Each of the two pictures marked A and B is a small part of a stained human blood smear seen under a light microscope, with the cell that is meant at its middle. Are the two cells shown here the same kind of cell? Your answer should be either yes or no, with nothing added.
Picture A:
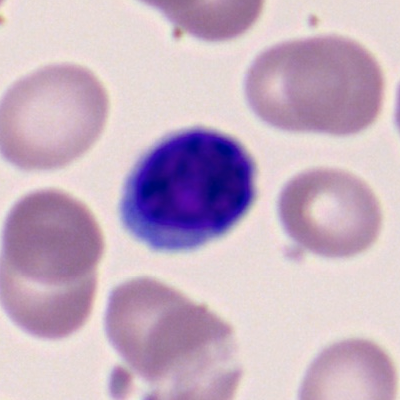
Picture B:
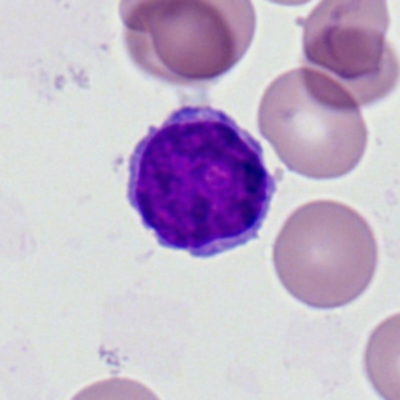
yes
